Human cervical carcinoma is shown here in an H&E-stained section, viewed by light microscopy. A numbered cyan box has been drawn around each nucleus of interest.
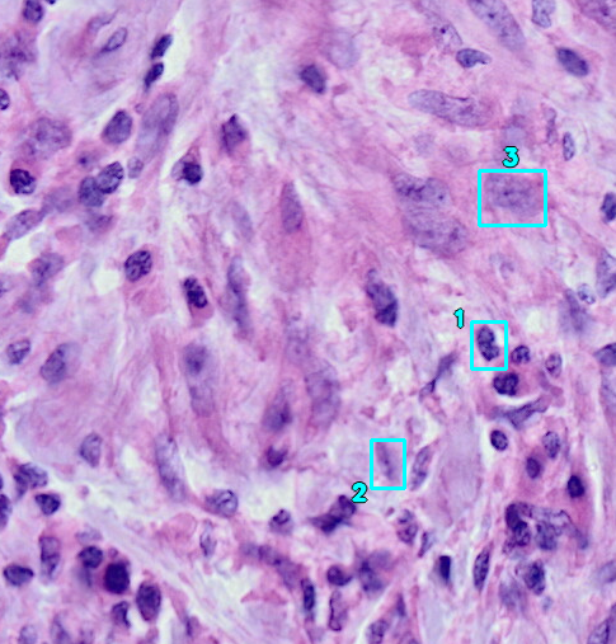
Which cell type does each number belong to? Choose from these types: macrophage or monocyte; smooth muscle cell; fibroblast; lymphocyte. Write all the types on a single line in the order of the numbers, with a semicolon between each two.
lymphocyte; fibroblast; fibroblast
